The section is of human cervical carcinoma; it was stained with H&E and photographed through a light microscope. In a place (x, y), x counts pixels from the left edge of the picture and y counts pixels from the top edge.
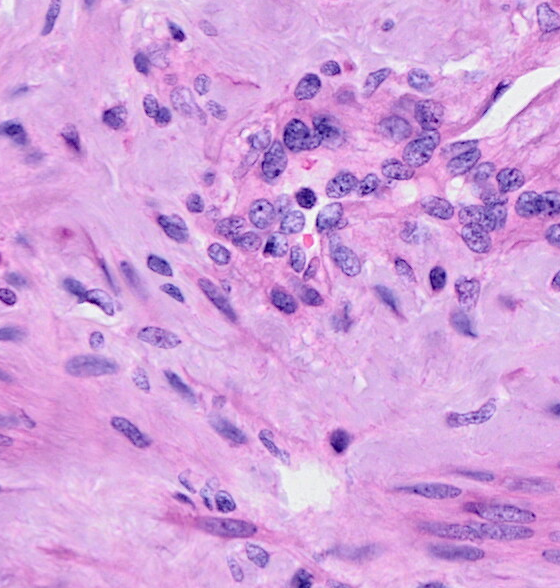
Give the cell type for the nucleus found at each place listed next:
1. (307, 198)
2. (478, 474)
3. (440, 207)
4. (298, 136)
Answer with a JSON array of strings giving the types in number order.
["lymphocyte", "smooth muscle cell", "endothelial cell", "endothelial cell"]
